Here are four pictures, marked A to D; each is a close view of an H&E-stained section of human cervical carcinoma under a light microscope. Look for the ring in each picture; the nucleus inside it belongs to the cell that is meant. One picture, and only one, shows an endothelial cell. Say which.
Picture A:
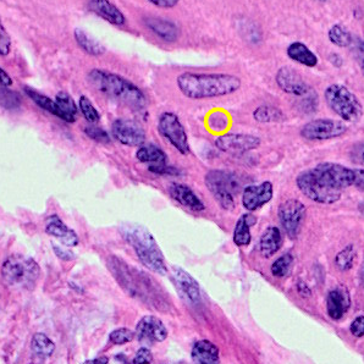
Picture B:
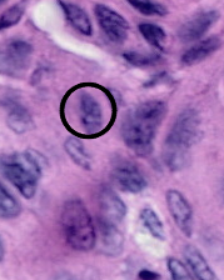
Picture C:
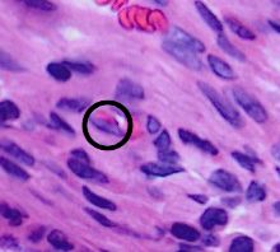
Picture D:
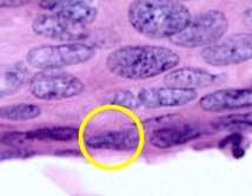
C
